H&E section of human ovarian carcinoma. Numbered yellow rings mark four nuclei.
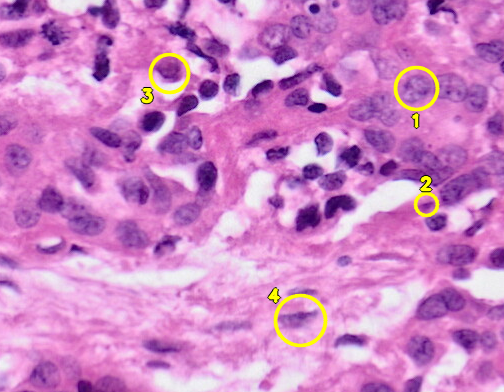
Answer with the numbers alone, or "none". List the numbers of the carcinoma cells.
1, 2, 3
